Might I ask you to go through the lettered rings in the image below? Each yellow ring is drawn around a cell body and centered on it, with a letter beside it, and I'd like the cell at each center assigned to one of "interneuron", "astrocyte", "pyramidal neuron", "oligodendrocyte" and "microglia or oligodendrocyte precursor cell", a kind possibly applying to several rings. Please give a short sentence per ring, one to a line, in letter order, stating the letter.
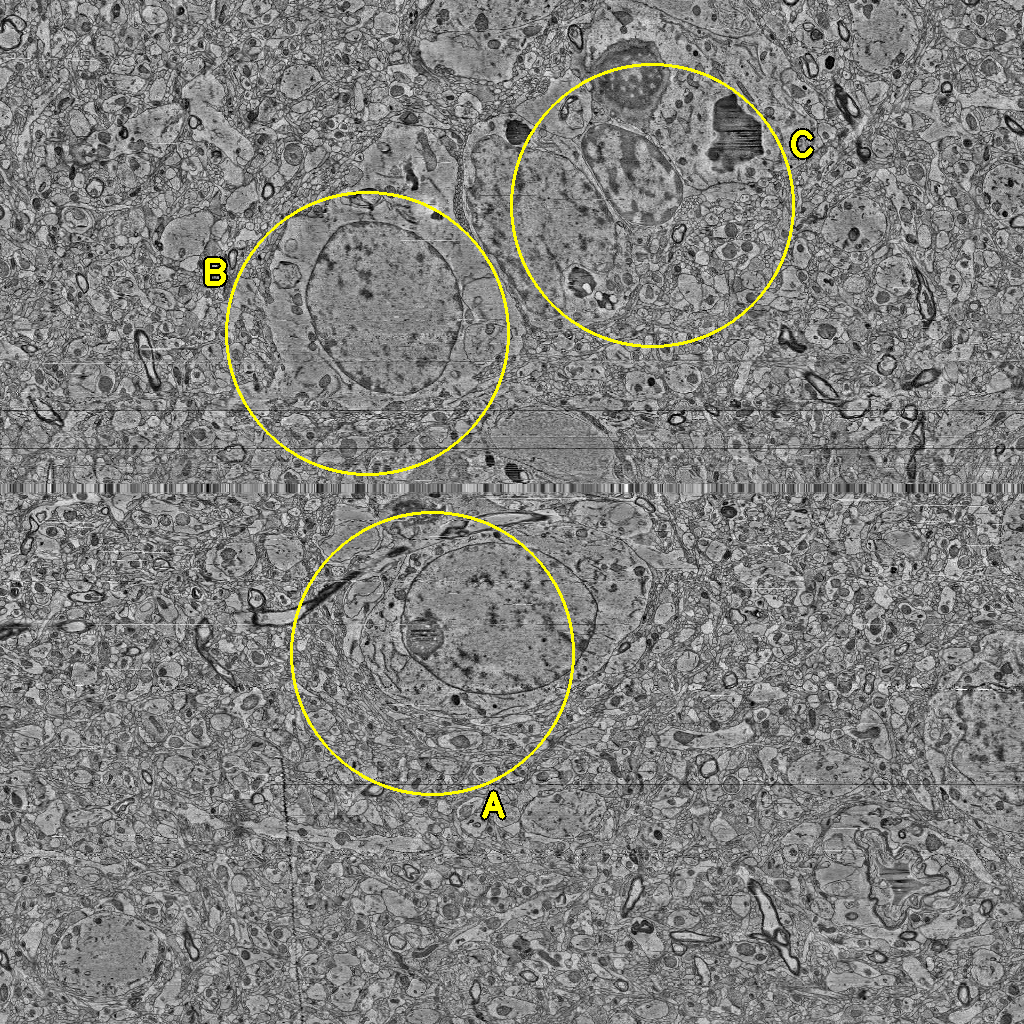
Ring A is centered on the body of a pyramidal neuron.
Ring B is centered on the body of an astrocyte.
Ring C is centered on the body of a microglial cell or oligodendrocyte precursor cell.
